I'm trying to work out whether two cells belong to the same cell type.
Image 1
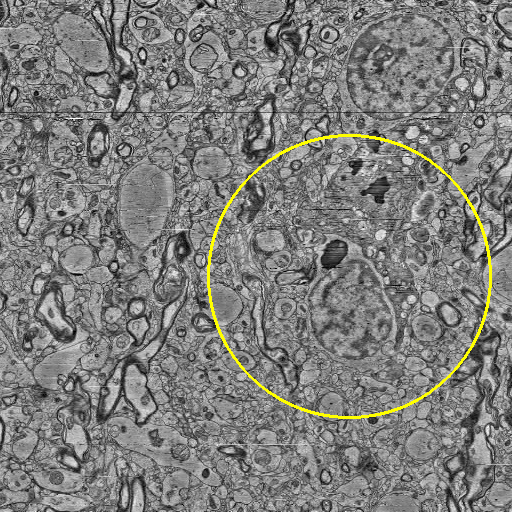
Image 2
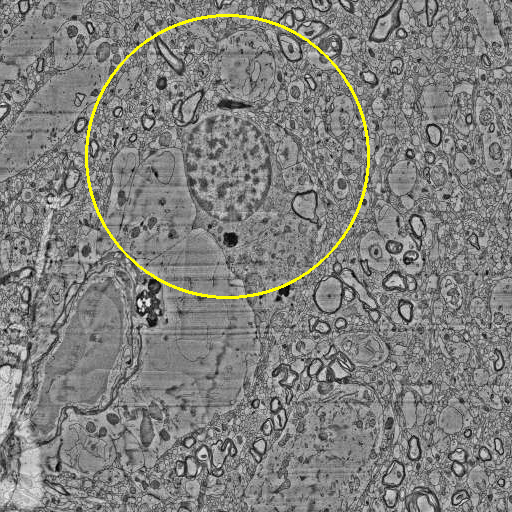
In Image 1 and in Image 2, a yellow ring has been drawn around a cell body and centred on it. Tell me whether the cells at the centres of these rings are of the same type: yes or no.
yes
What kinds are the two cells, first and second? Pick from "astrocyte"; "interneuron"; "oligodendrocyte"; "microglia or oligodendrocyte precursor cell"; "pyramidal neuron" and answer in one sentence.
Each one of the two ringed cells is an oligodendrocyte.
